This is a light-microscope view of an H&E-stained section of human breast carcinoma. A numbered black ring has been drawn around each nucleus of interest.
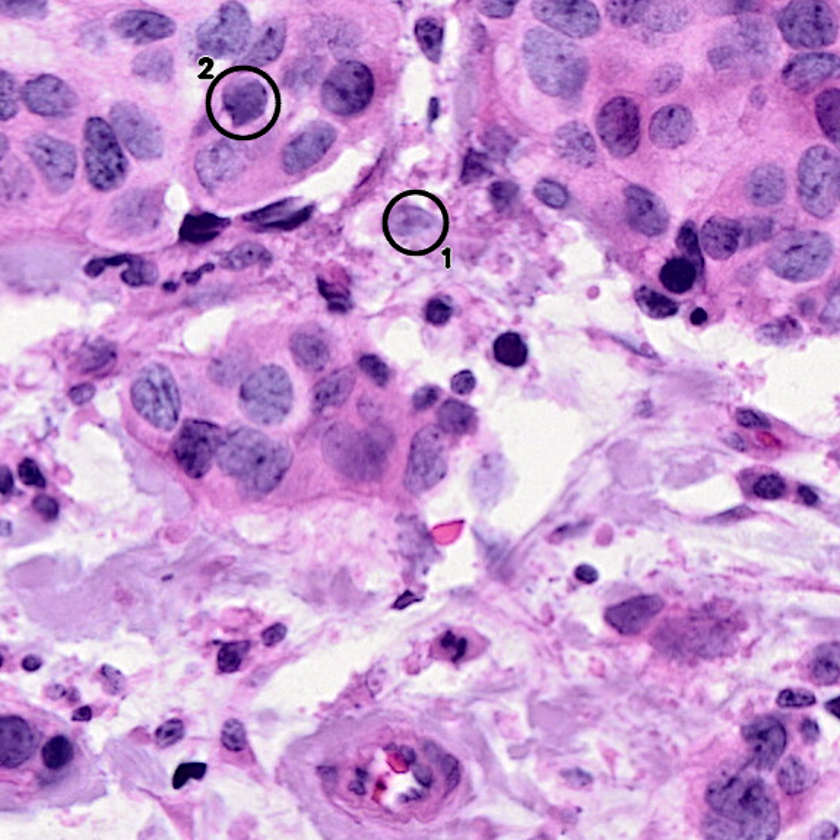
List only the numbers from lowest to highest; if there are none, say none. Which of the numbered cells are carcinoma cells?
2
